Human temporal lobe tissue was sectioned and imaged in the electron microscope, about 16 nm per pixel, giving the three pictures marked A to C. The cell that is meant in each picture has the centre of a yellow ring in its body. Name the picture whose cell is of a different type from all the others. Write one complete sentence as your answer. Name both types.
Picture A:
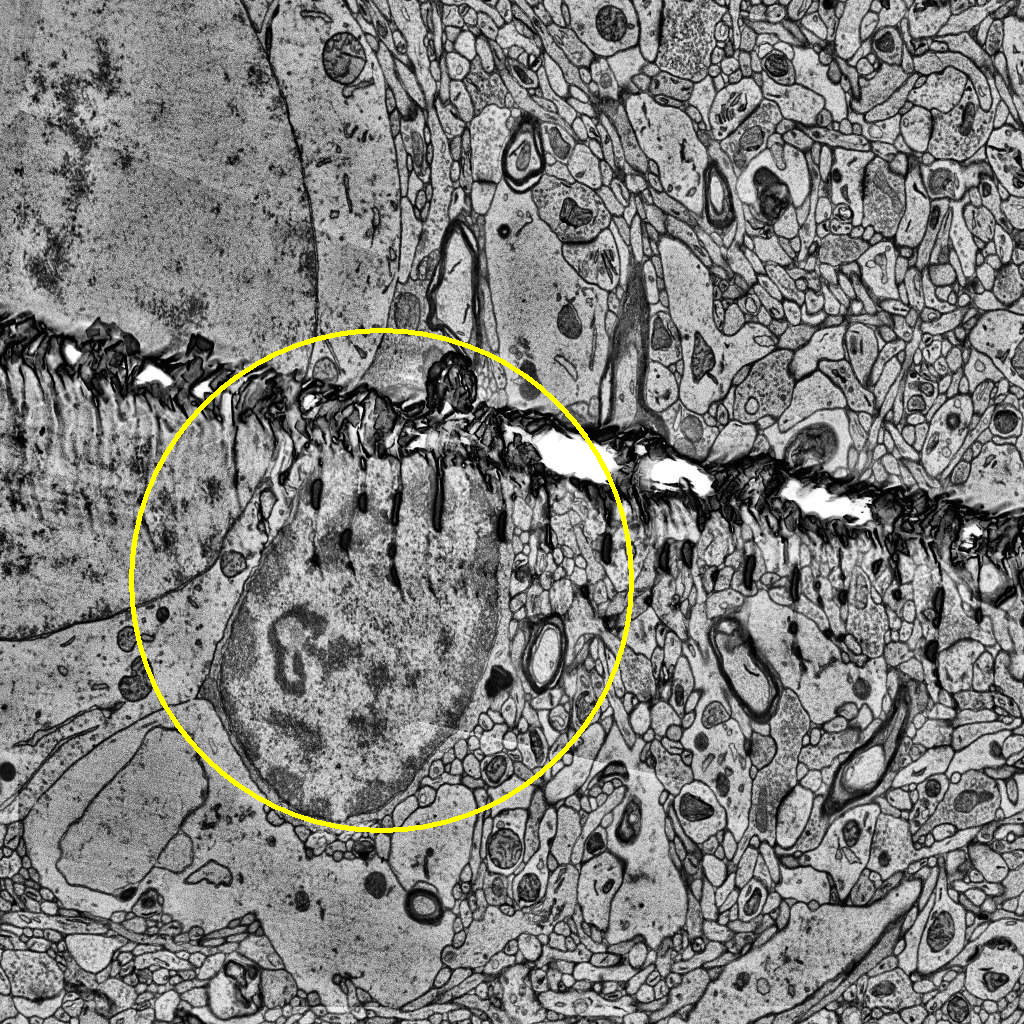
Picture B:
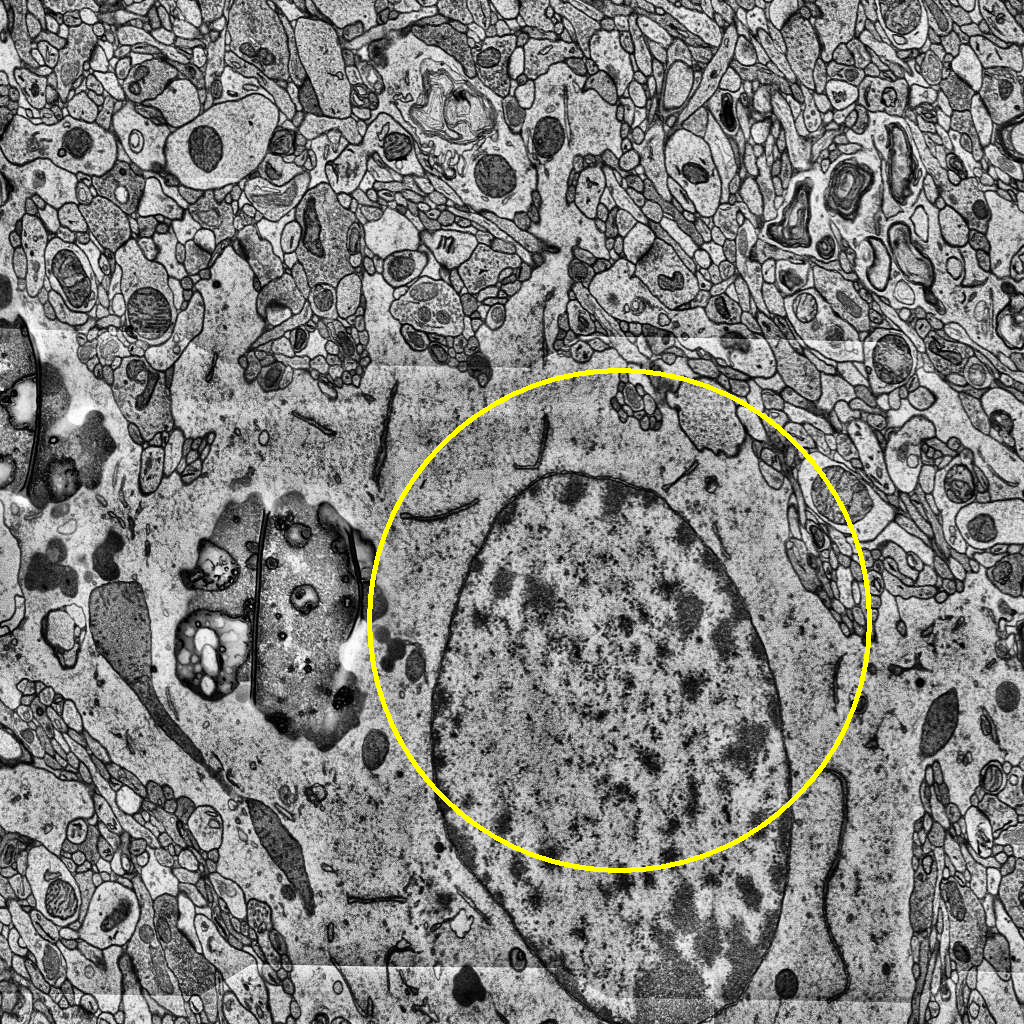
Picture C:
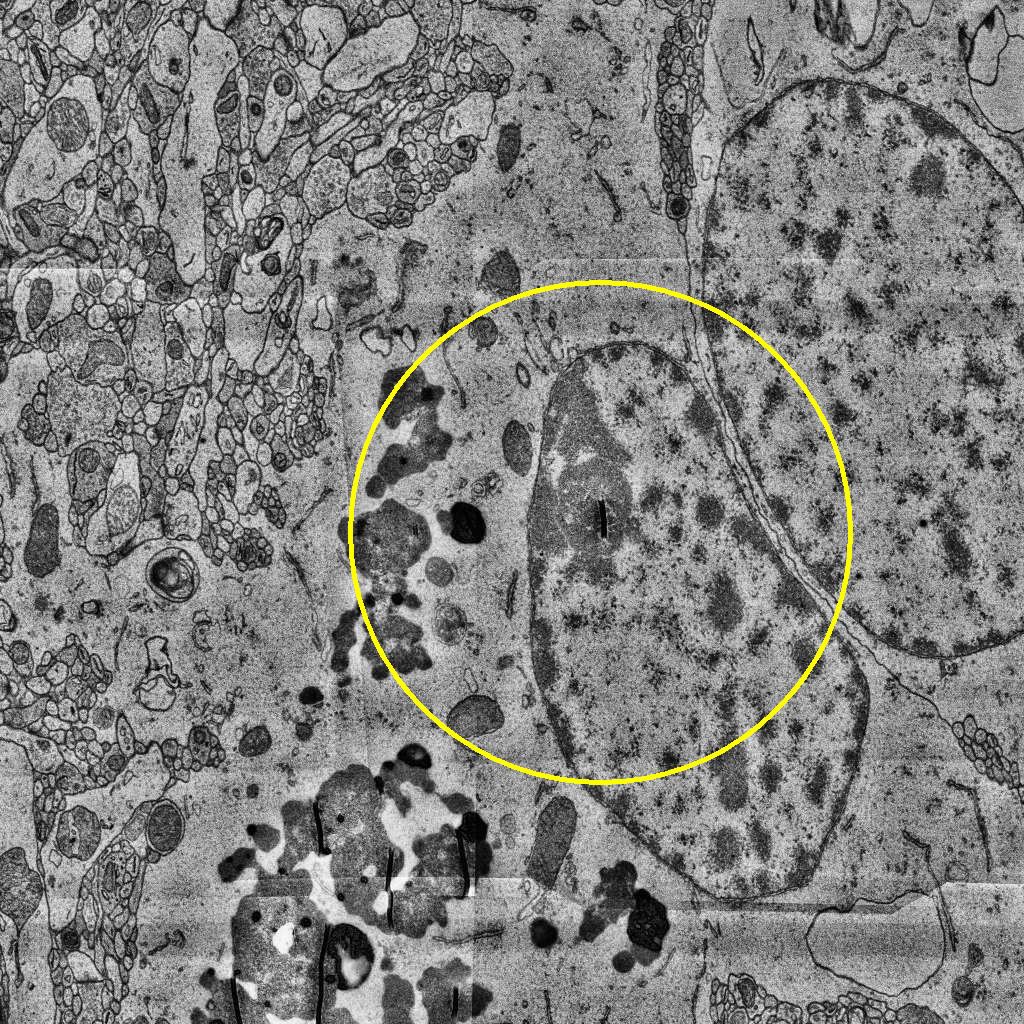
Unlike the rest, which show astrocytes, picture A shows an oligodendrocyte.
